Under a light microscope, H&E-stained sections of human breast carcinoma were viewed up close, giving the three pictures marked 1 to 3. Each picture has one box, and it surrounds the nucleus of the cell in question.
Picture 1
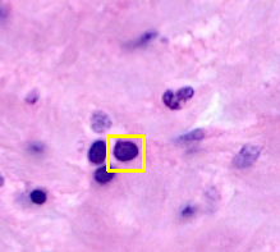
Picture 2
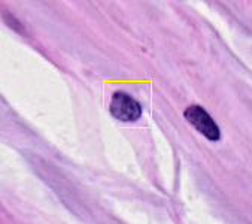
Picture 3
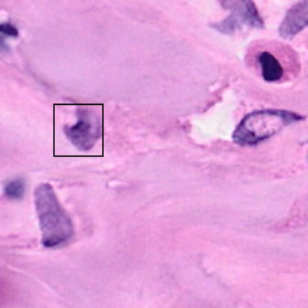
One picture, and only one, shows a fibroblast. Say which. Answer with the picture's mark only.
3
